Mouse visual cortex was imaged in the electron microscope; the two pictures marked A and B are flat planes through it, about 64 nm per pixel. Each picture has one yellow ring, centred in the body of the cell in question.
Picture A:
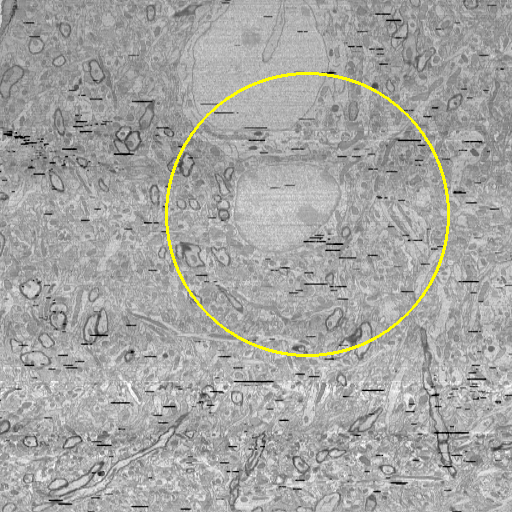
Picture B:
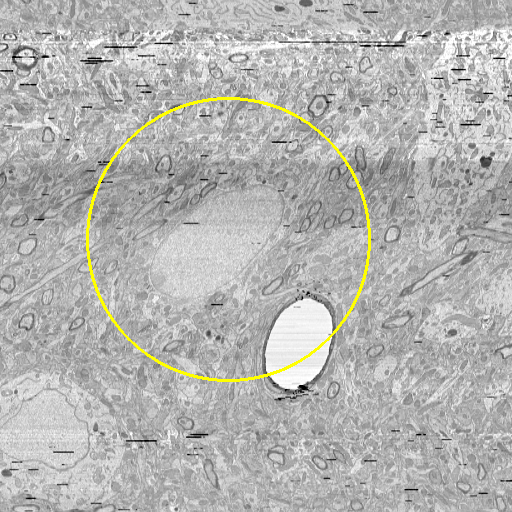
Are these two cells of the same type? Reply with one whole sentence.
Yes, the two pictures both show astrocytes.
